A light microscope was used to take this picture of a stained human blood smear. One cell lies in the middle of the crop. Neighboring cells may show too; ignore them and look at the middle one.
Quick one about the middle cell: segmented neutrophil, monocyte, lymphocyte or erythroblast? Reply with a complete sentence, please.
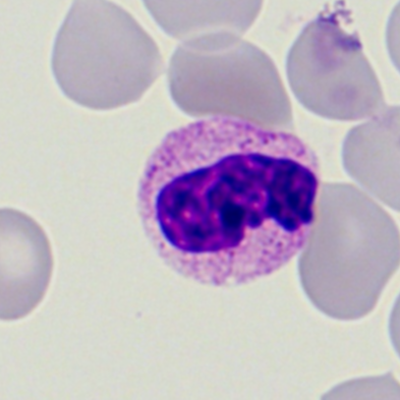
The single cell at the center of the crop is a segmented neutrophil.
